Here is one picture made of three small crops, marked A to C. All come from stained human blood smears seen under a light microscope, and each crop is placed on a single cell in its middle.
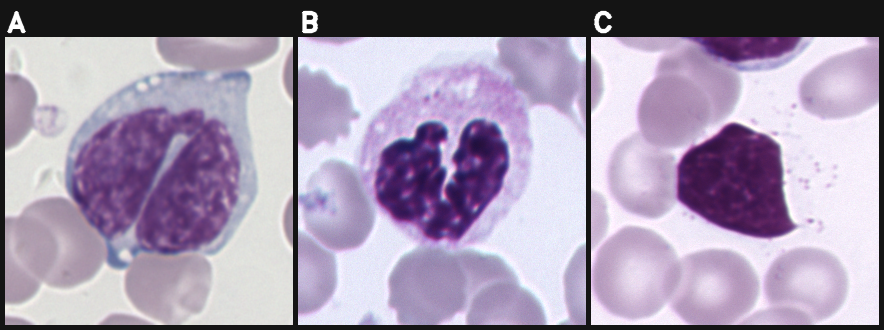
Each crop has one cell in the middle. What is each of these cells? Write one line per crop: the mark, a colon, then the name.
A: myeloblast
B: segmented neutrophil
C: smudge cell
